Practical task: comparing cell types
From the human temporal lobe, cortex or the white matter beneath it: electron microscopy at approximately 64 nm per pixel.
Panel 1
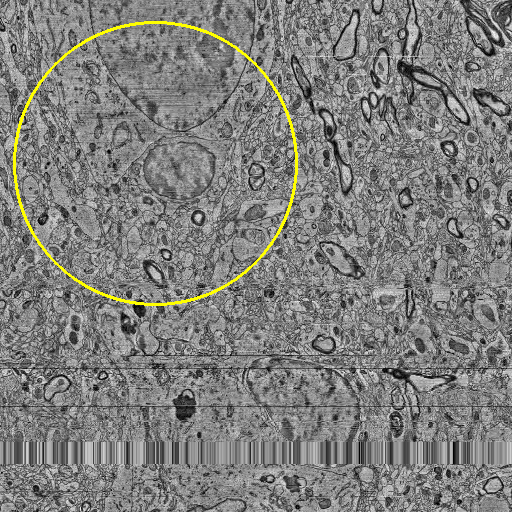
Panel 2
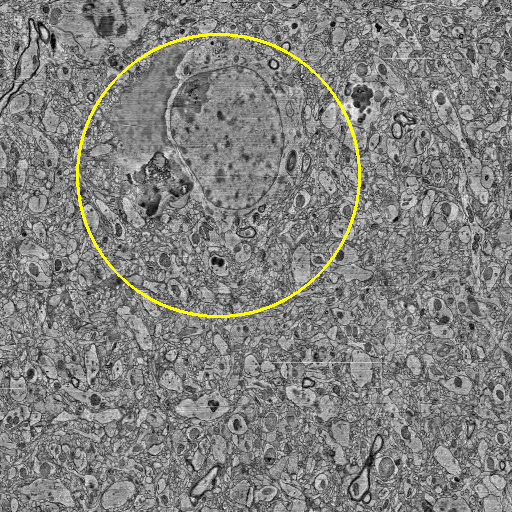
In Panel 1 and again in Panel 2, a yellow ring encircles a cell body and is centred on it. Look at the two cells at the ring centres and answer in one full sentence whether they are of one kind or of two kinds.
The two cells sitting at the ring centres of Panels 1 and 2 are of two kinds.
